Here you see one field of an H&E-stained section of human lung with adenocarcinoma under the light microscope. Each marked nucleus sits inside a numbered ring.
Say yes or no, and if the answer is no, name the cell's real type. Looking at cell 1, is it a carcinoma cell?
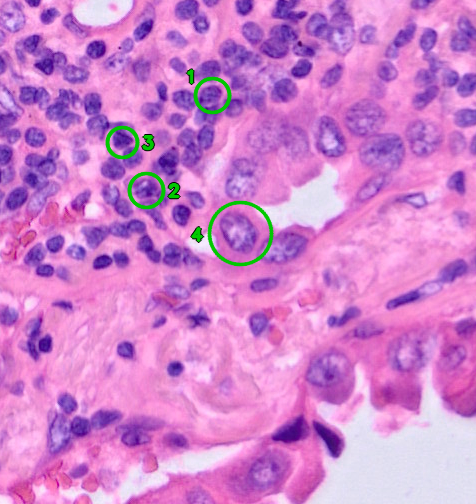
No, it is a lymphocyte.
